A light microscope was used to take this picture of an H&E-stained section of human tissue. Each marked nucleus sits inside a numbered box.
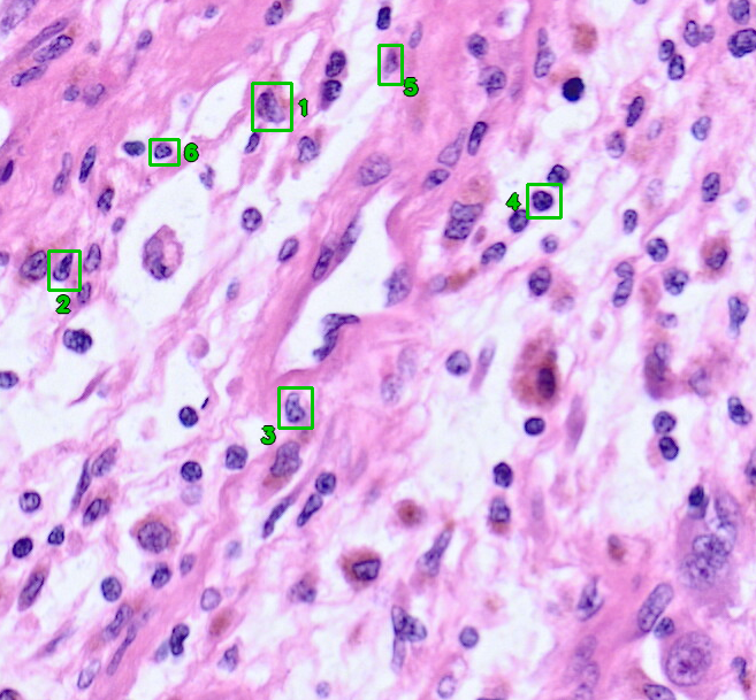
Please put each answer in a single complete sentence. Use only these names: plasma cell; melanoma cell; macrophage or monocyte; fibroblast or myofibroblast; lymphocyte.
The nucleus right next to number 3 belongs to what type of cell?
It is a macrophage or monocyte whose nucleus is nearest to number 3.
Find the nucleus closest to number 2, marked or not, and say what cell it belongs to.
Number 2 lies closest to the nucleus of a macrophage or monocyte.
